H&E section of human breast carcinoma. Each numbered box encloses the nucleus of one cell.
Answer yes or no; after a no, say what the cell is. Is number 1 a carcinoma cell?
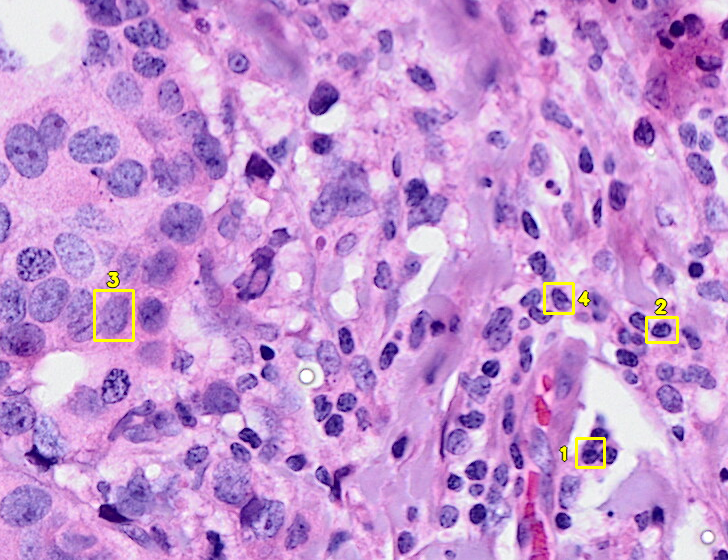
No, it is a lymphocyte.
